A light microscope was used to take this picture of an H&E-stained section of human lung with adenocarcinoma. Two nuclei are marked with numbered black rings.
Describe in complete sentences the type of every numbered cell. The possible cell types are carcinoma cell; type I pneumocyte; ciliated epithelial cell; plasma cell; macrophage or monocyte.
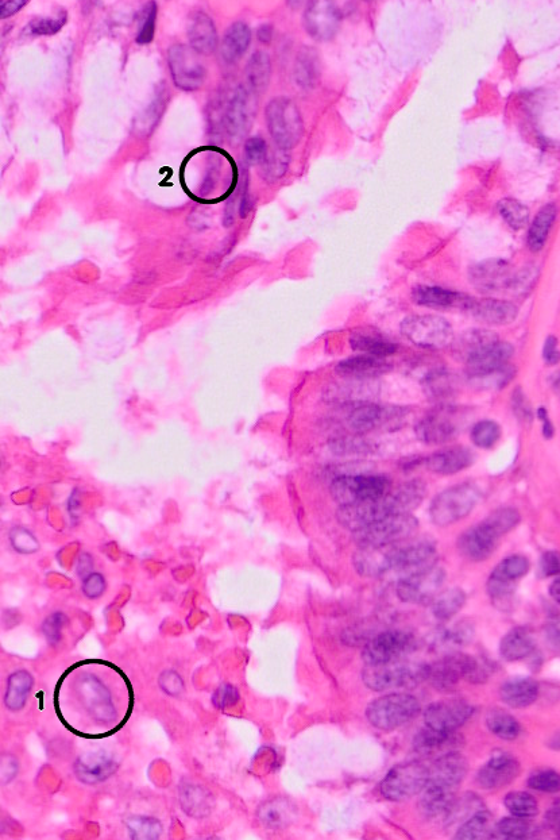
Cell 1 is a macrophage or monocyte. Cell 2 is a ciliated epithelial cell.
